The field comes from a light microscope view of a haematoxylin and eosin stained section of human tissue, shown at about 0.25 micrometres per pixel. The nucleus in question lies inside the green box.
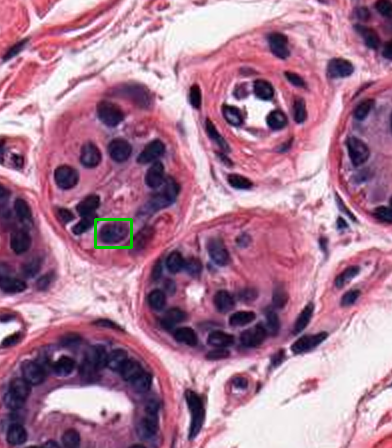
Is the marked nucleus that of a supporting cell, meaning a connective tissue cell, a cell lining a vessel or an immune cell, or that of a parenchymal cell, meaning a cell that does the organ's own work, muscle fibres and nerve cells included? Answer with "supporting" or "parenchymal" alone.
parenchymal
